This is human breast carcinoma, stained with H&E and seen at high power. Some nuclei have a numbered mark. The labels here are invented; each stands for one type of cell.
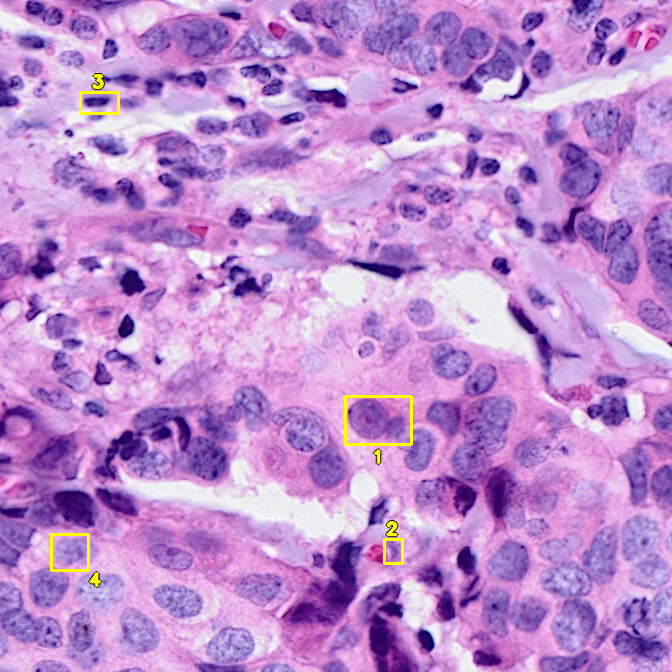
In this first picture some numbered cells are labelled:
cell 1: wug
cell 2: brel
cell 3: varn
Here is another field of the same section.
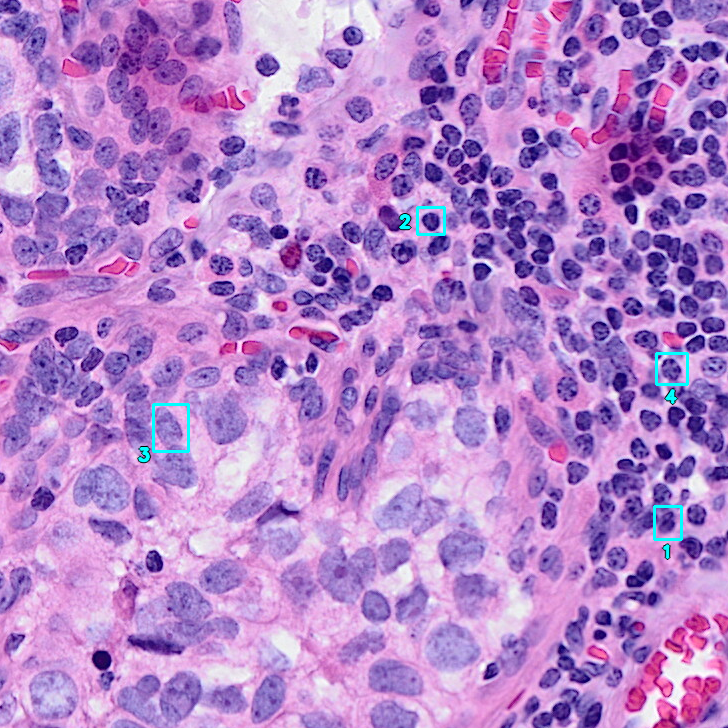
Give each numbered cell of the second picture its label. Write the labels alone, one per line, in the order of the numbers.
varn
varn
wug
varn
